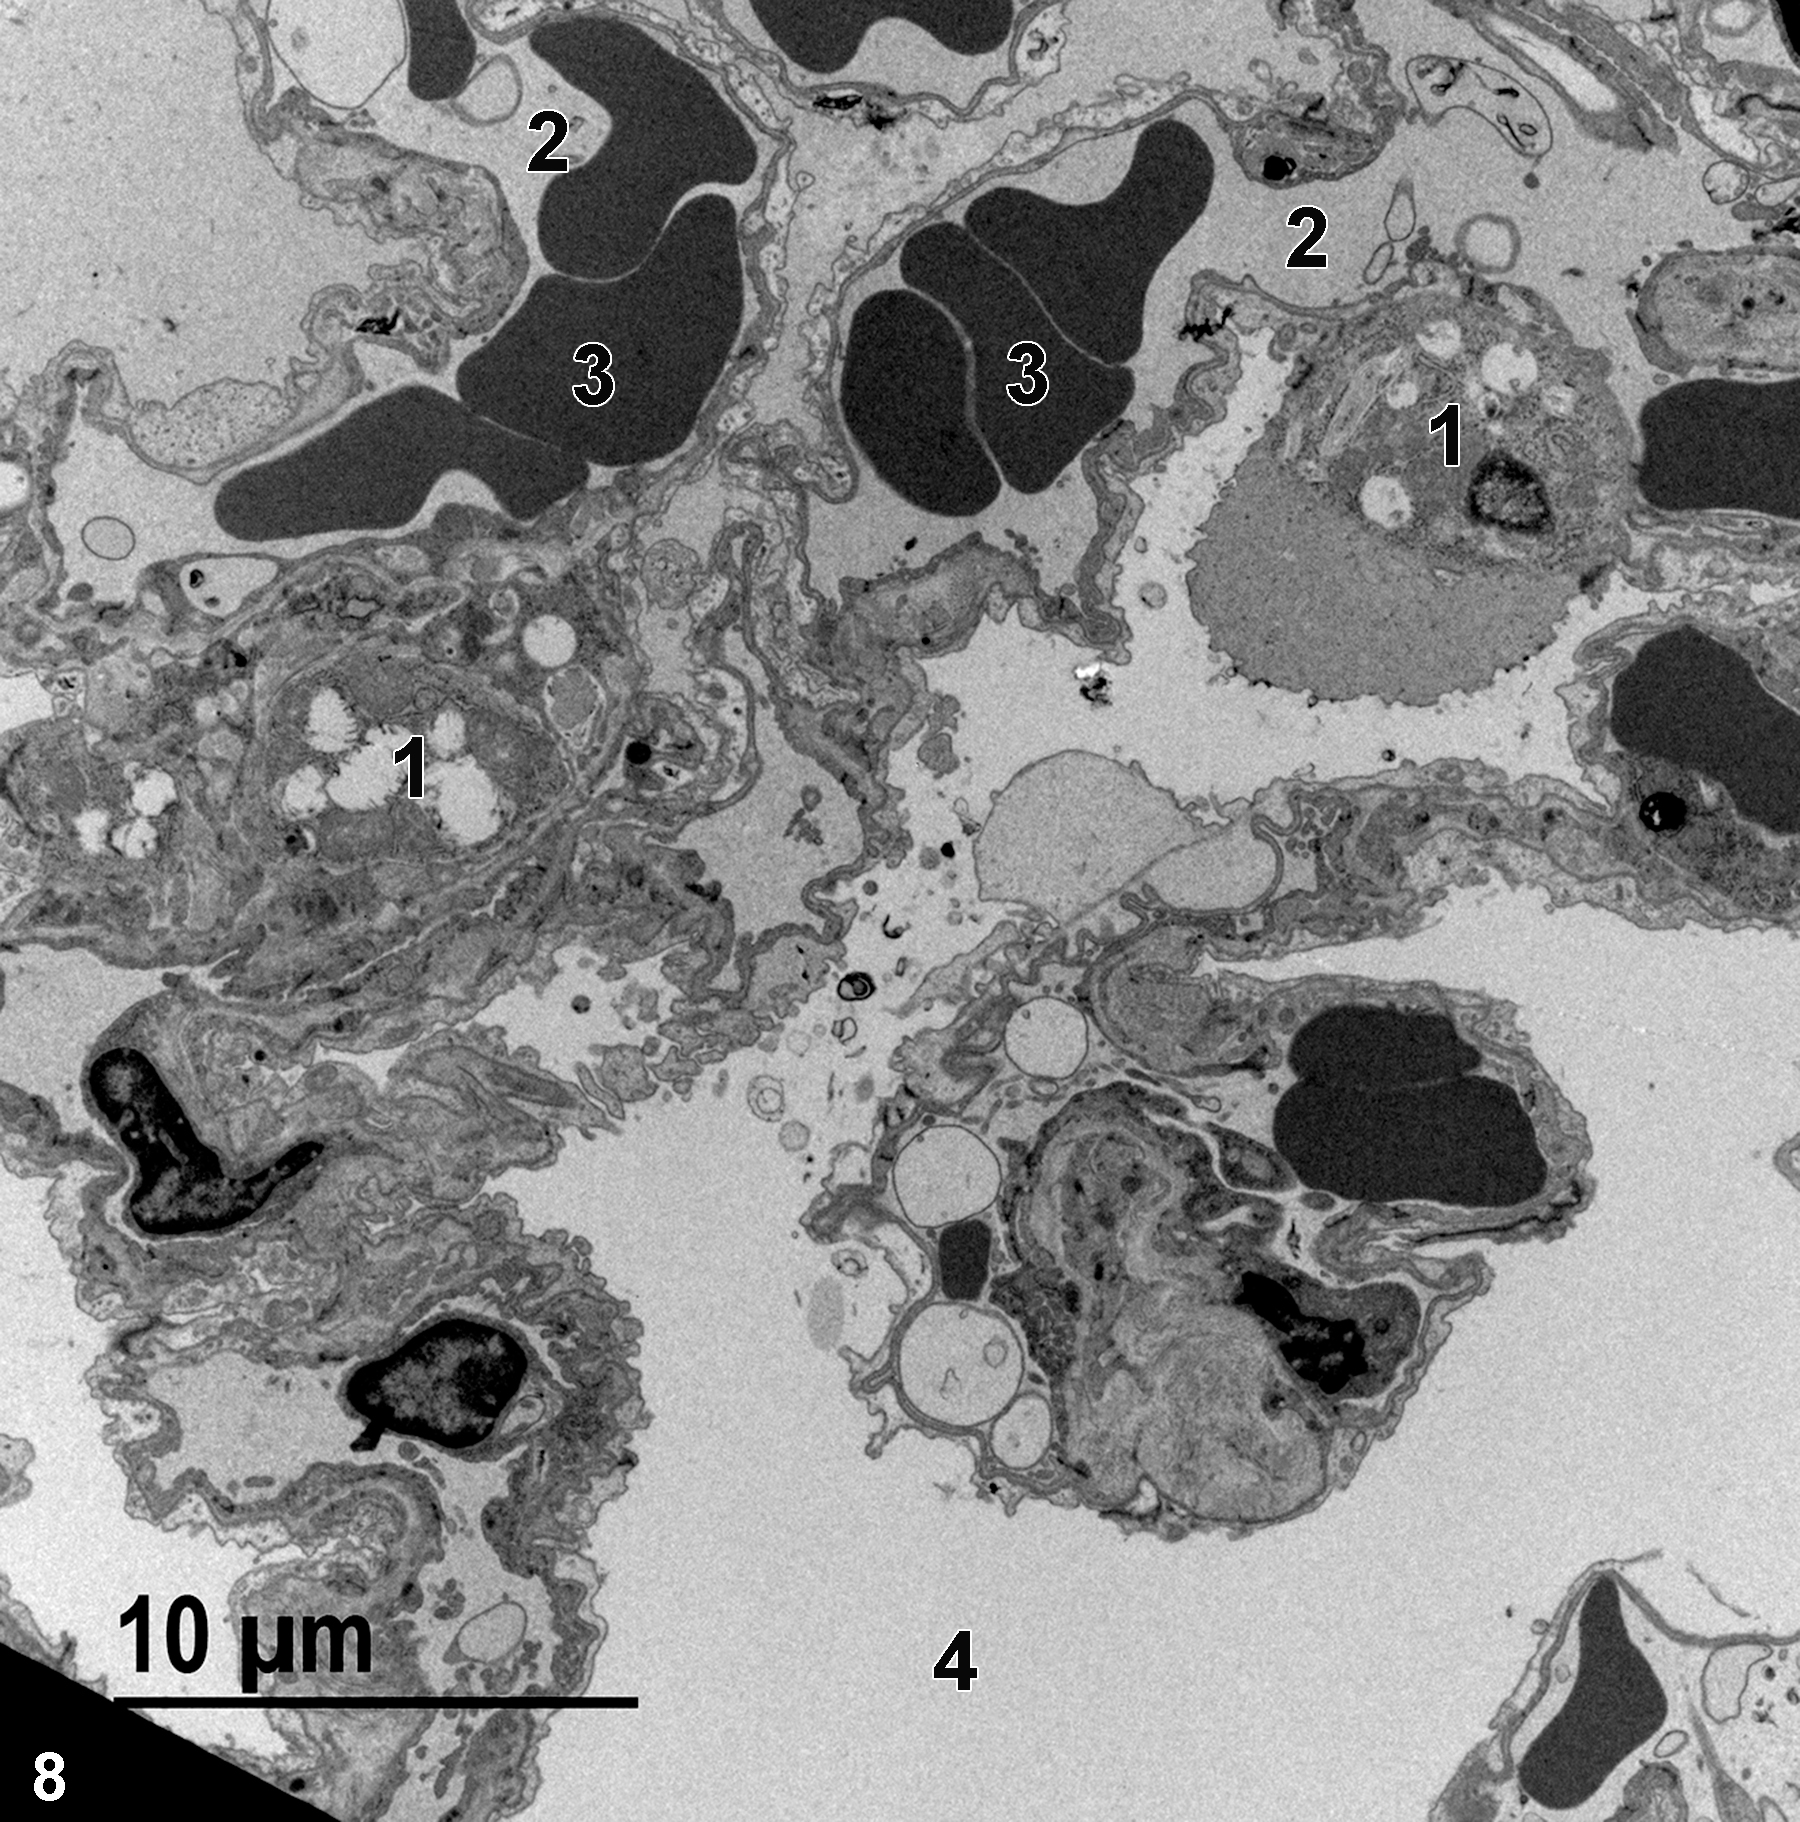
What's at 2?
Capillaries.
